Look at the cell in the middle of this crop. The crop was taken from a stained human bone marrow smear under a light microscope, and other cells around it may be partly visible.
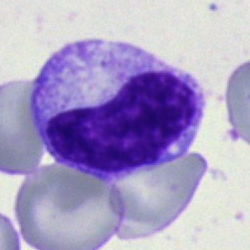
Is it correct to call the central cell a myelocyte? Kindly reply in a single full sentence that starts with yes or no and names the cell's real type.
No, the cell in the centre is a metamyelocyte instead of a myelocyte.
